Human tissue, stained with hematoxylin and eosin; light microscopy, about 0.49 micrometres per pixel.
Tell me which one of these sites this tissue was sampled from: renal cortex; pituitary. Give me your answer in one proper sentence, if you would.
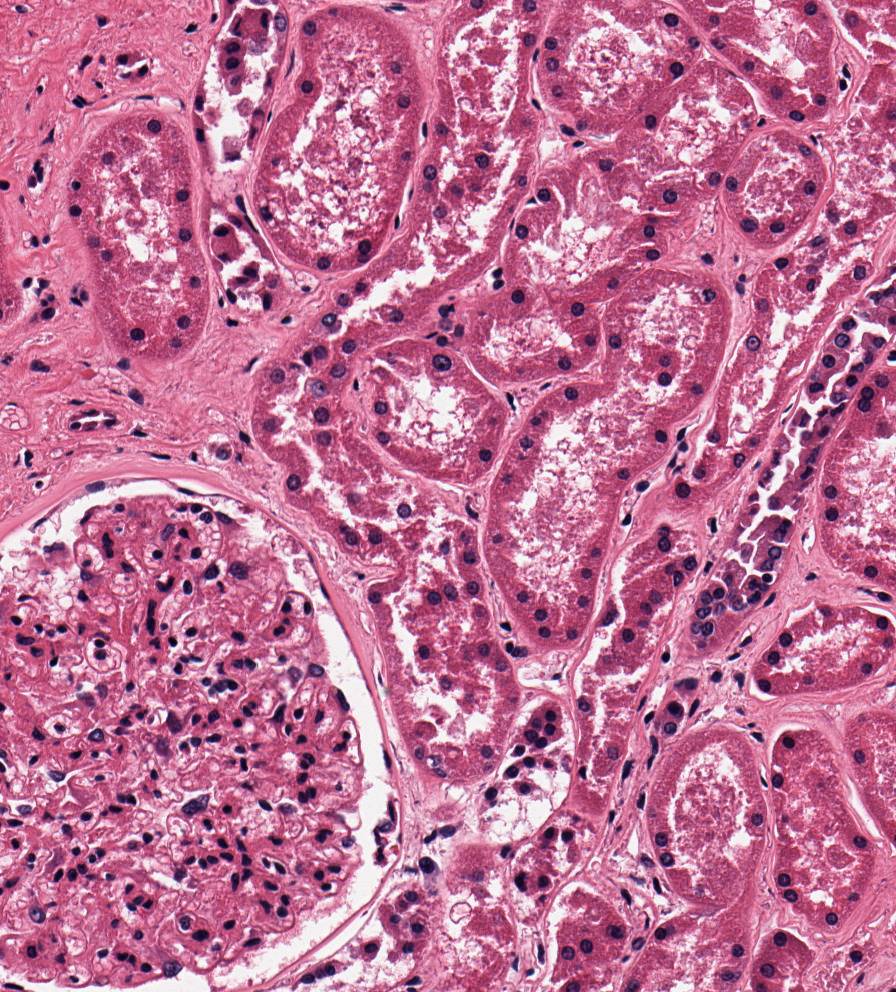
Obtained from the renal cortex, the tissue was sectioned for this slide.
